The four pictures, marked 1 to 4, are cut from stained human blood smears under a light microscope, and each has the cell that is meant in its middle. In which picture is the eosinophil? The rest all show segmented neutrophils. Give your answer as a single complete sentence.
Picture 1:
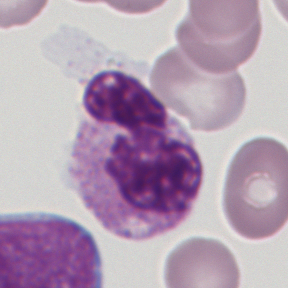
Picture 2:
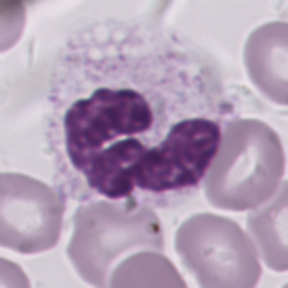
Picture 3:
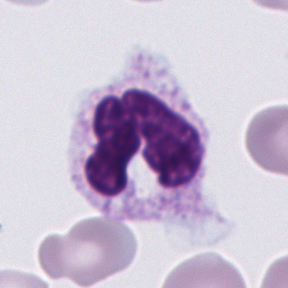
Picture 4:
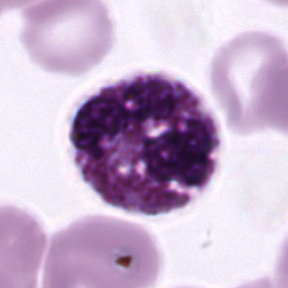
It is picture 4 that shows the eosinophil.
